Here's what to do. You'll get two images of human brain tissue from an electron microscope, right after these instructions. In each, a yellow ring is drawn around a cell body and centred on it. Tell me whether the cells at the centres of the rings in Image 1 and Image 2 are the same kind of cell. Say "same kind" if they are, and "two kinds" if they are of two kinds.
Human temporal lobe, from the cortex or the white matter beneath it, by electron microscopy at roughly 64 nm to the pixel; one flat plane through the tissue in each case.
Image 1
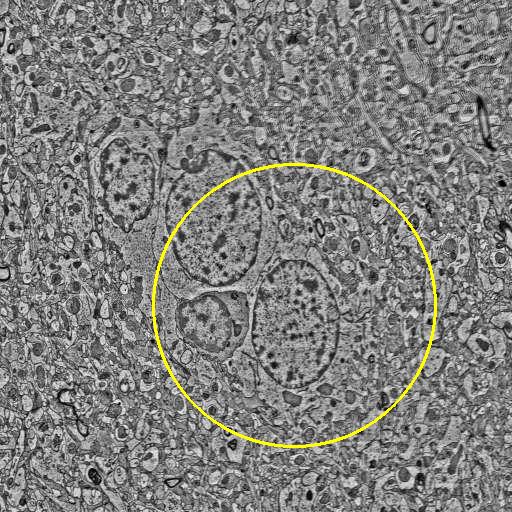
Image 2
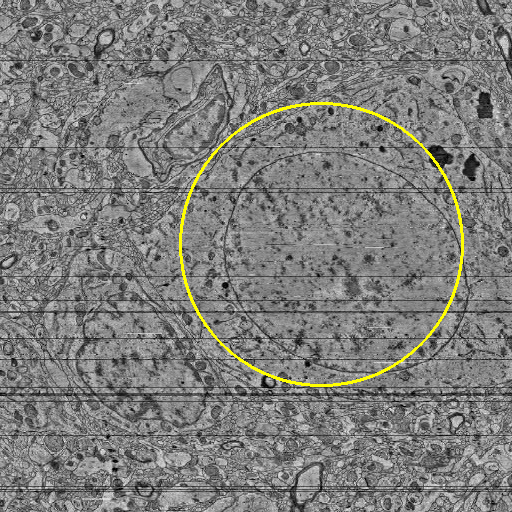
two kinds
